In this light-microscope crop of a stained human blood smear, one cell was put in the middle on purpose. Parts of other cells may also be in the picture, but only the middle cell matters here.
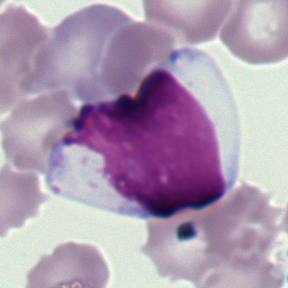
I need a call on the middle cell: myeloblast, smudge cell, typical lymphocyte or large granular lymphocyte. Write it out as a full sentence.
The crop shows a large granular lymphocyte in its centre.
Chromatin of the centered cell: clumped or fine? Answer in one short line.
There is no coarse clumping; the chromatin stays fine throughout.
